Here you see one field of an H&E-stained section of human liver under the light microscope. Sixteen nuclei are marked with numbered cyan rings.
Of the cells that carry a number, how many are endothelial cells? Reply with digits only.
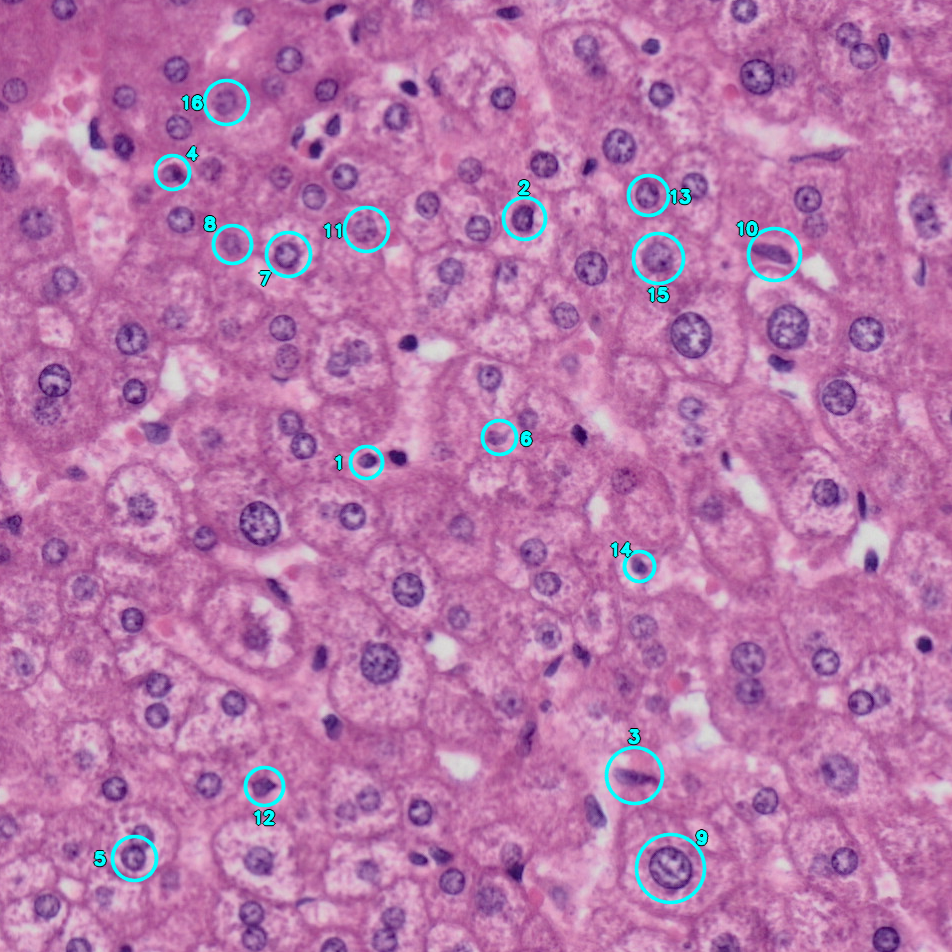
2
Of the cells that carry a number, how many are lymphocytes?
2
